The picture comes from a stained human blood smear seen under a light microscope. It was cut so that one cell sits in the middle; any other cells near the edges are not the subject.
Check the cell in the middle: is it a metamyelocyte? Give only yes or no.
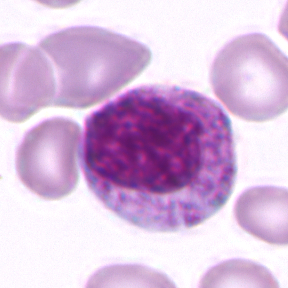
no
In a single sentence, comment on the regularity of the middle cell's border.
There are no projections here; the outline is simply smooth.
